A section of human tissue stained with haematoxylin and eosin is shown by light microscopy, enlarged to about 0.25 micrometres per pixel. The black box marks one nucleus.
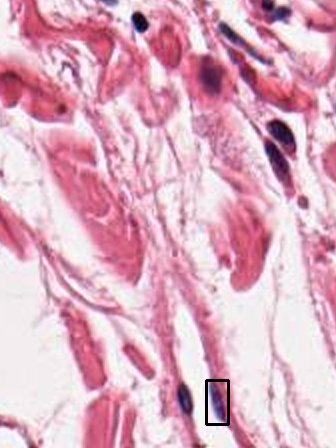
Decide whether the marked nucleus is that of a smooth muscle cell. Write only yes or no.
no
